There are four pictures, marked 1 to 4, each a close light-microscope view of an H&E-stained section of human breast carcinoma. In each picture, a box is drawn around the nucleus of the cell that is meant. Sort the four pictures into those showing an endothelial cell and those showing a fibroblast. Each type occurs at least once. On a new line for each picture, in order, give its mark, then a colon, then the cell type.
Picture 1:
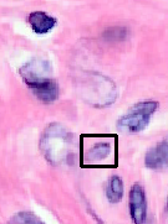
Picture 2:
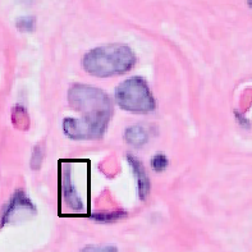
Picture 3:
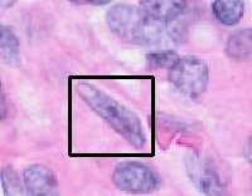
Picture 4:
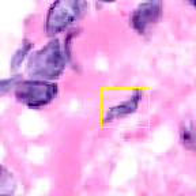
1: endothelial cell
2: endothelial cell
3: endothelial cell
4: fibroblast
